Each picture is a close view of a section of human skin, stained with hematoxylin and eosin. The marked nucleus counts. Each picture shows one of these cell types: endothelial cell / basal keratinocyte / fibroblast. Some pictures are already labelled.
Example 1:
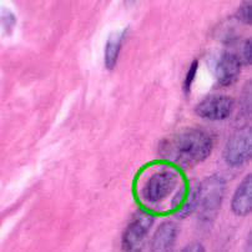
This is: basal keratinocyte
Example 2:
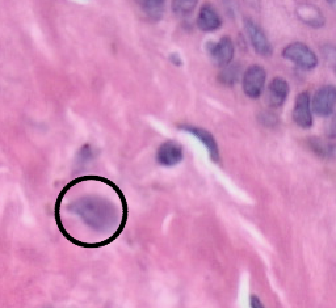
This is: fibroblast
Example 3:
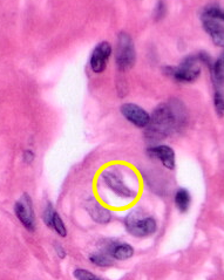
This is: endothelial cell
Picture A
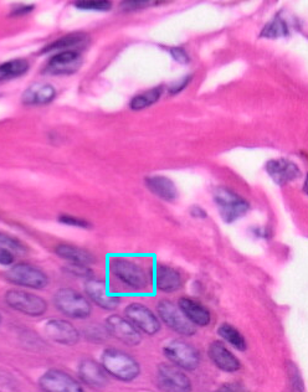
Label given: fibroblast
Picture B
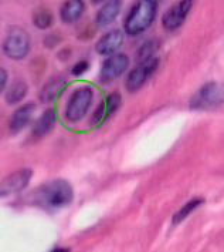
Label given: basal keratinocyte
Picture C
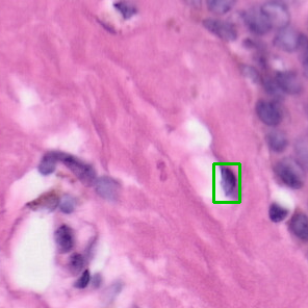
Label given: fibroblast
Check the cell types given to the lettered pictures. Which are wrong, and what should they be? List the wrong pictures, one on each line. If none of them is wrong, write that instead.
Wrong: A (fibroblast); correct: basal keratinocyte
